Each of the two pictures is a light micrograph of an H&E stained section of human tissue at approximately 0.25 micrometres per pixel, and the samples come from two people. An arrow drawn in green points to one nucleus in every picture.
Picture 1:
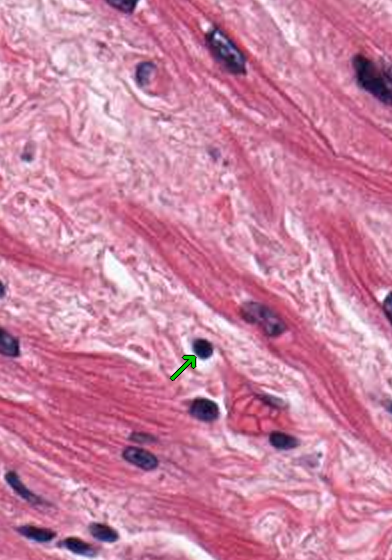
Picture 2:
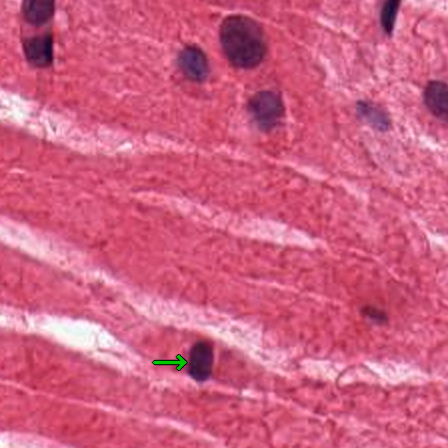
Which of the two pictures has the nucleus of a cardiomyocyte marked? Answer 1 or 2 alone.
2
